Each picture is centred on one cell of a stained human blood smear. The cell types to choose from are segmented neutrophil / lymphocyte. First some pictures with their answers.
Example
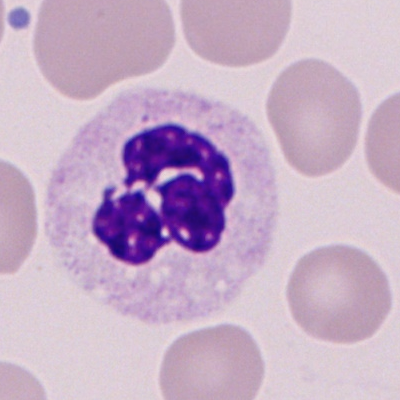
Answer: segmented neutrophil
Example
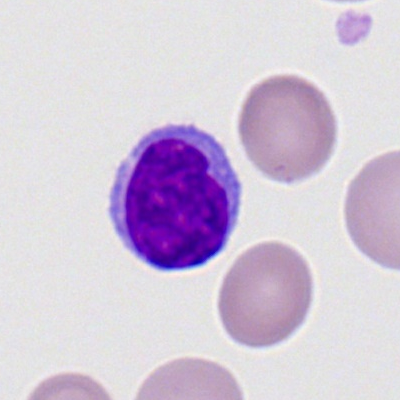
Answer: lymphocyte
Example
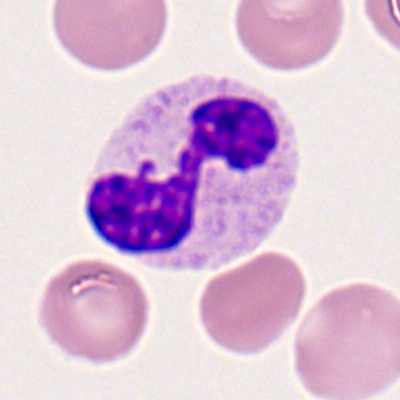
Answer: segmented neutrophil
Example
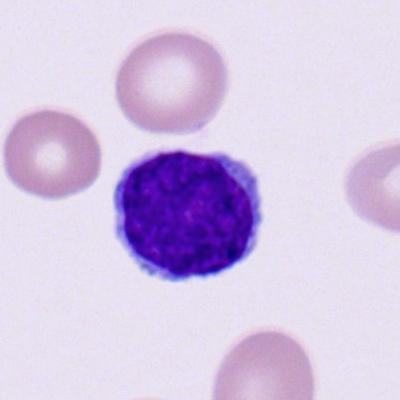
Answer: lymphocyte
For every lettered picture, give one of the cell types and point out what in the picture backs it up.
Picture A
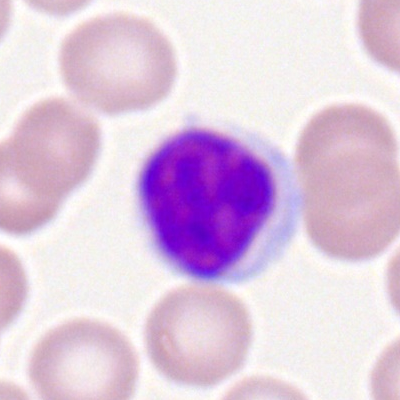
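lymphocyte: The cytoplasm is a scant rim of pale blue around the nucleus.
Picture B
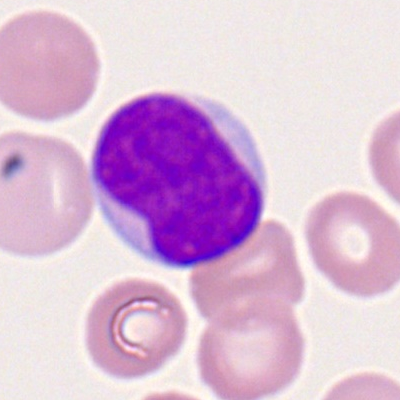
lymphocyte: The cytoplasm is scant, forming only a thin rim beside the nucleus.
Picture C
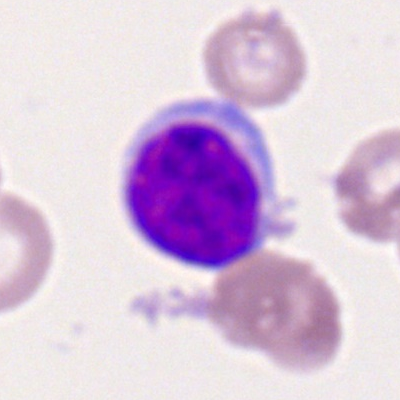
lymphocyte: The cytoplasm is a scant rim of pale blue.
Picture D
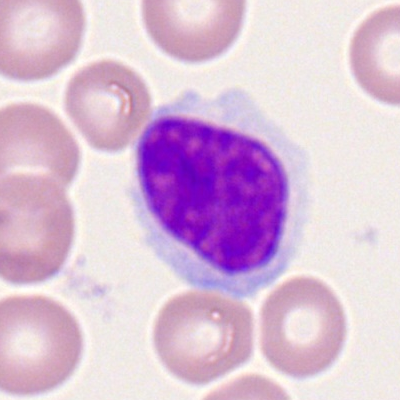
lymphocyte: The nucleus fills most of the cell.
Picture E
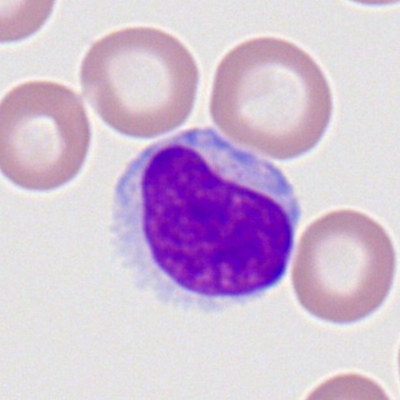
lymphocyte: The nucleus is kidney-shaped, with a notch in its upper edge.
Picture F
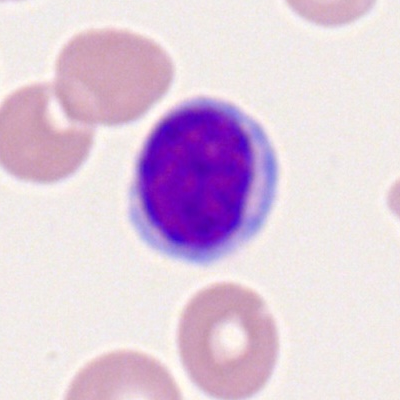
lymphocyte: The cytoplasm forms only a thin rim around the nucleus.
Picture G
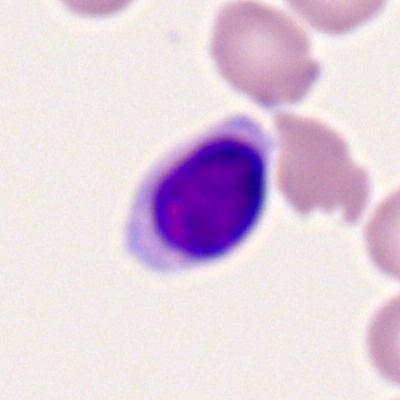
lymphocyte: The cytoplasm forms a narrow rim that is widest on the lower-left side.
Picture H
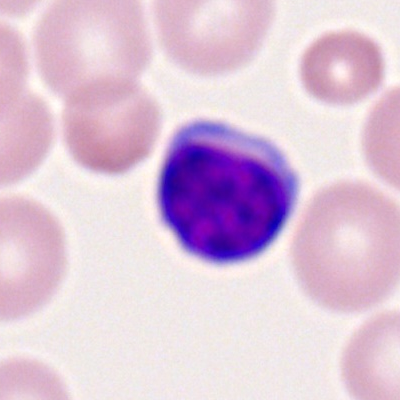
lymphocyte: The nucleus fills most of the cell.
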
